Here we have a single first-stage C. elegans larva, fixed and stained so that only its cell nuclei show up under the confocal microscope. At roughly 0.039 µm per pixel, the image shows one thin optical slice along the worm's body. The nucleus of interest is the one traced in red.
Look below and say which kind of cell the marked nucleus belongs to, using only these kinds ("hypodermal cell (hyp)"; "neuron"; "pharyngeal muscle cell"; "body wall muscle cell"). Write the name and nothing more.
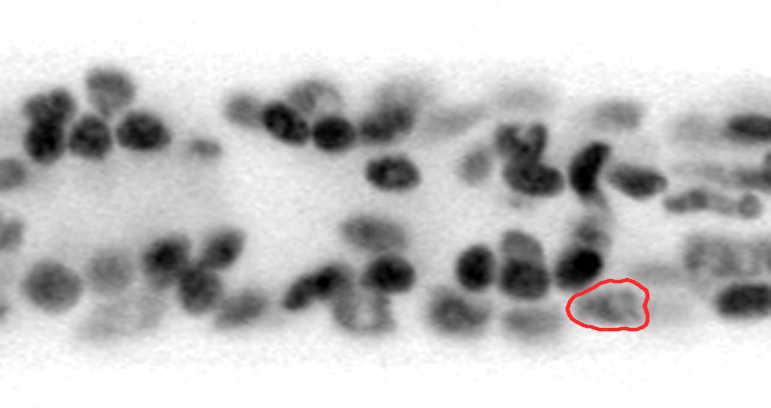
body wall muscle cell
